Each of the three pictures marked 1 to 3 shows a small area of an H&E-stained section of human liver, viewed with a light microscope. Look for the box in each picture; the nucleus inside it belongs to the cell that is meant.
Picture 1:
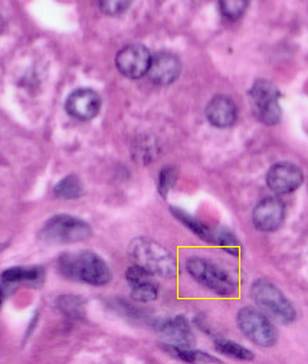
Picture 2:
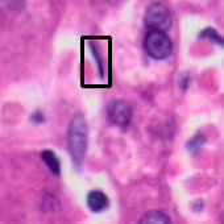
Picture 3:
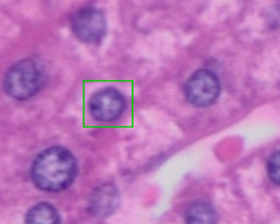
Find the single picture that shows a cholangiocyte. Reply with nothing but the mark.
1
